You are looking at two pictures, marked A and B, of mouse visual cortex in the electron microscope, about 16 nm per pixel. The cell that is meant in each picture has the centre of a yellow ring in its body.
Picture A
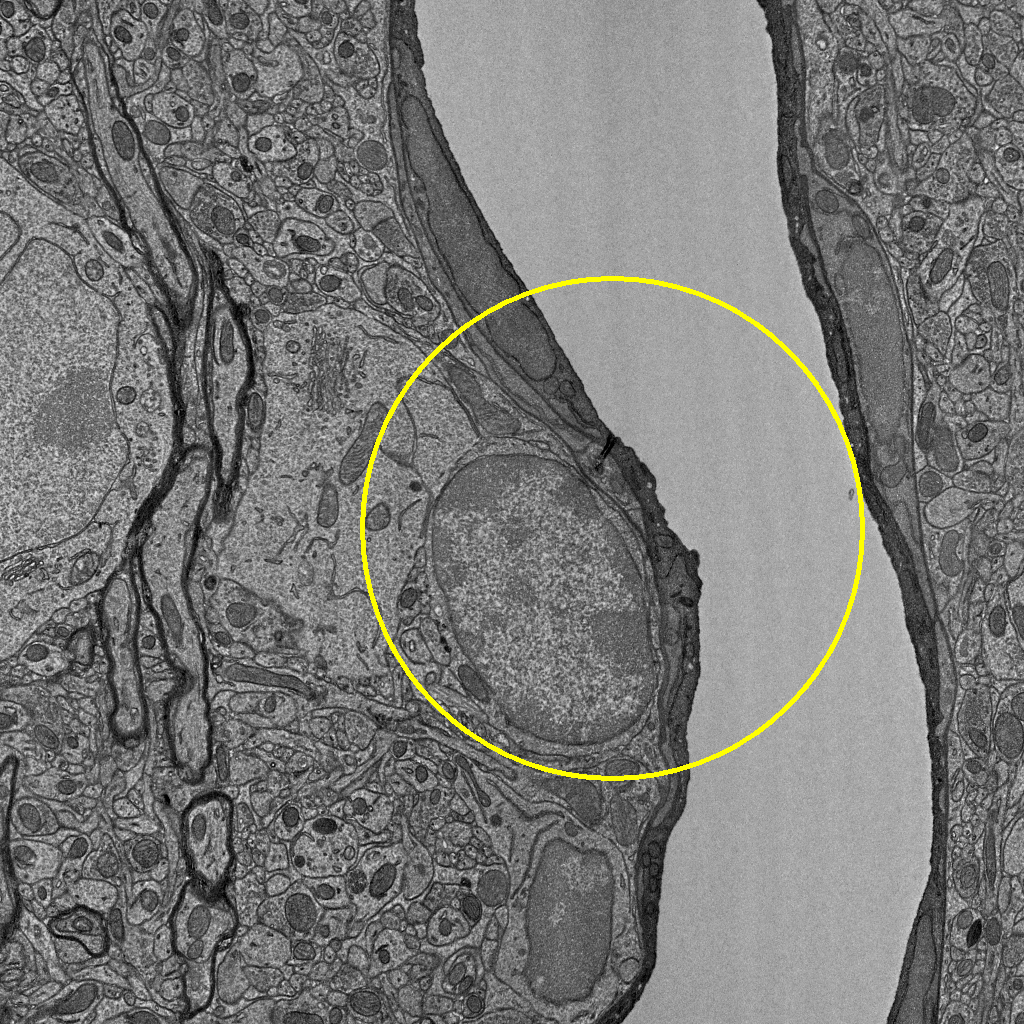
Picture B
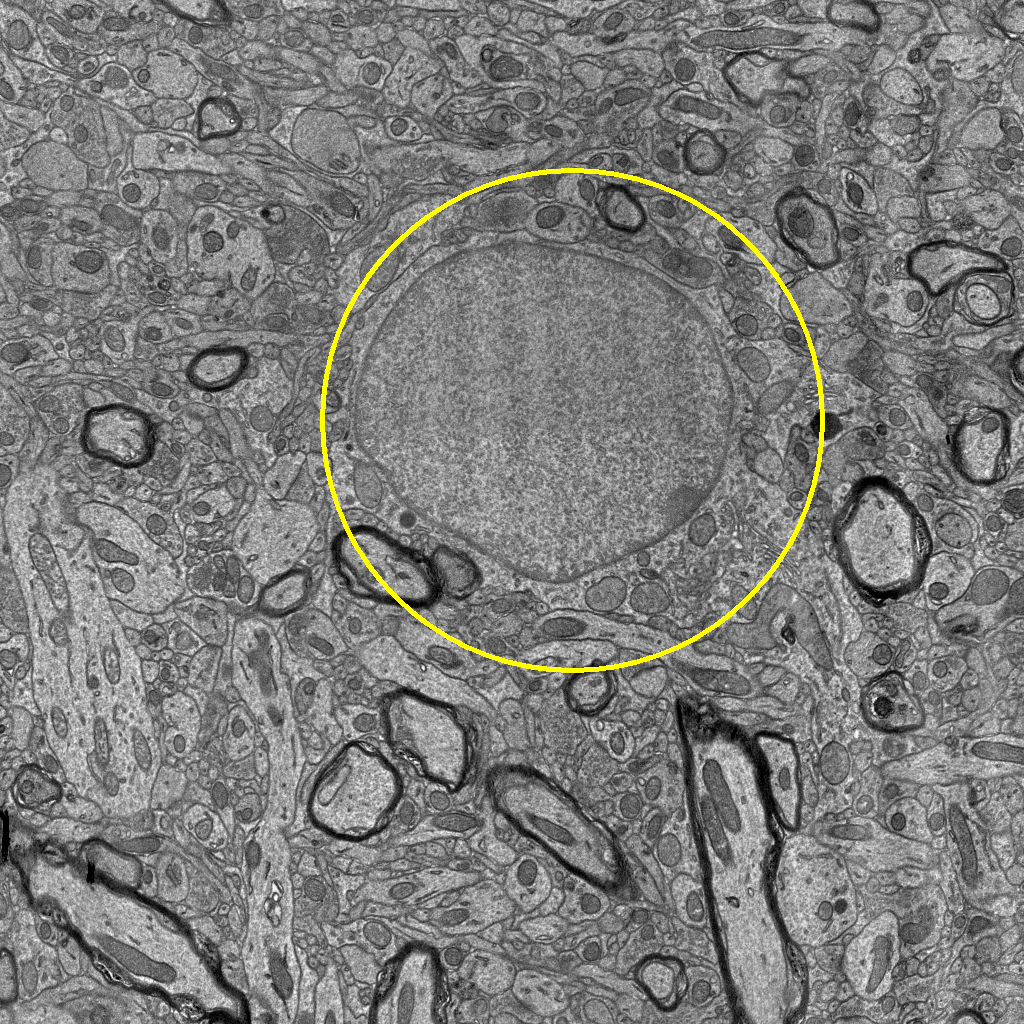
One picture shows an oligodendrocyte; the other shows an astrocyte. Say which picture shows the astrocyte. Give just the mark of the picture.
B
